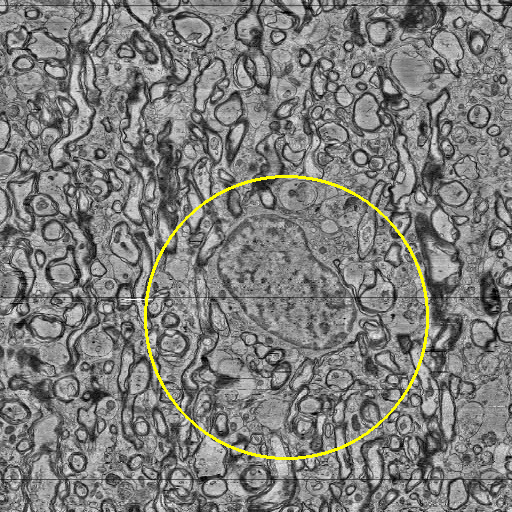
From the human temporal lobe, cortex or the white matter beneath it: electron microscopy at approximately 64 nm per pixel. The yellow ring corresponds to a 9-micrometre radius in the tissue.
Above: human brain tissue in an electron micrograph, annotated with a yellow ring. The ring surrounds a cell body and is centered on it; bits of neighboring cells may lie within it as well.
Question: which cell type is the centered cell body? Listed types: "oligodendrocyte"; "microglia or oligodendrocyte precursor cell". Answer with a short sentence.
The centered cell body is an oligodendrocyte.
